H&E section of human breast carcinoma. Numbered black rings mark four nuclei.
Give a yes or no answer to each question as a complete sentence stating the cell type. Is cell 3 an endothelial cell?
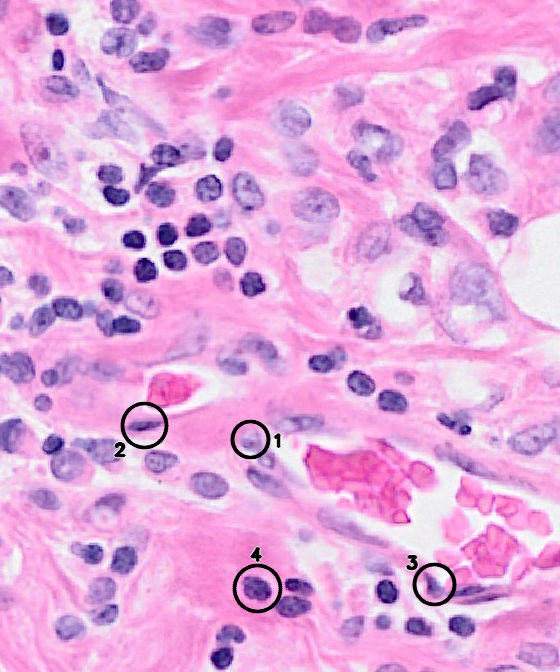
Yes, in this section the cell numbered 3 is an endothelial cell.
